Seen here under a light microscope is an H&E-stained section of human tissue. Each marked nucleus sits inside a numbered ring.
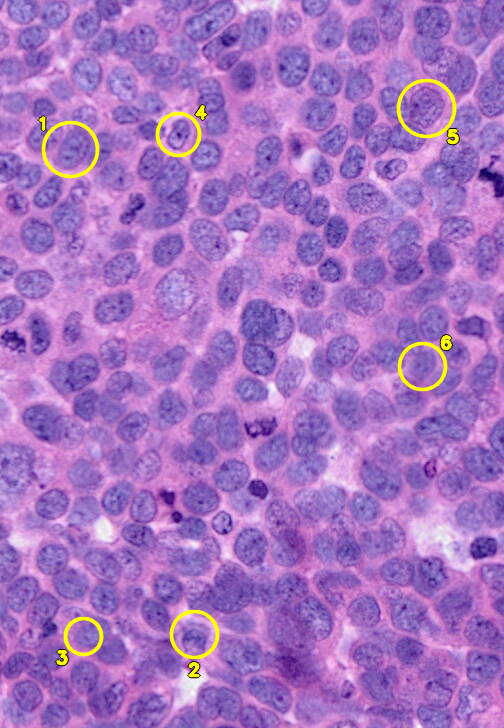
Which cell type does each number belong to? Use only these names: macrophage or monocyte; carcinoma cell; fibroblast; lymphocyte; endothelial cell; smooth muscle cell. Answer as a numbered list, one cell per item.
1. carcinoma cell
2. macrophage or monocyte
3. carcinoma cell
4. macrophage or monocyte
5. carcinoma cell
6. carcinoma cell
